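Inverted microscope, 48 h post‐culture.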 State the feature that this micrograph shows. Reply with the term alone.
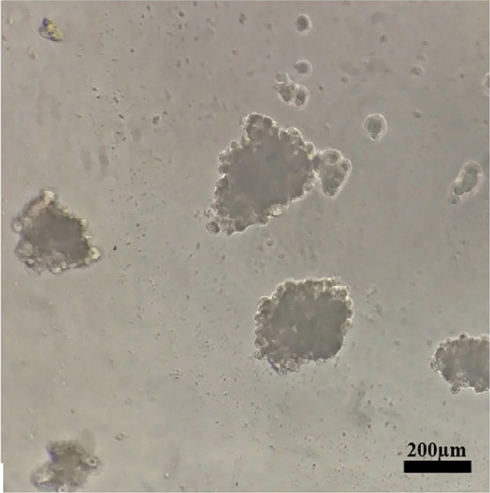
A: Spheroidal structures.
